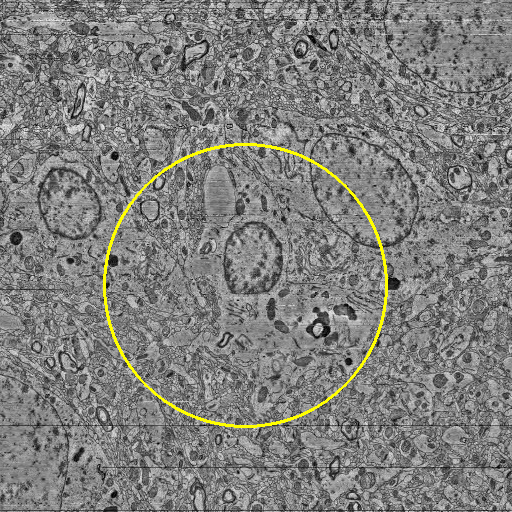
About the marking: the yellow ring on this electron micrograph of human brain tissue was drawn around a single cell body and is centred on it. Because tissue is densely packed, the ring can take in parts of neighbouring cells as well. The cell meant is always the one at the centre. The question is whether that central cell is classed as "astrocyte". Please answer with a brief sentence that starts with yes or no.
Yes, the central cell is classed that way.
